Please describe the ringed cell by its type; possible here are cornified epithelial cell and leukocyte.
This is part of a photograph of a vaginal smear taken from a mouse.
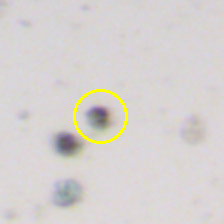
The yellow ring marks a leukocyte.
